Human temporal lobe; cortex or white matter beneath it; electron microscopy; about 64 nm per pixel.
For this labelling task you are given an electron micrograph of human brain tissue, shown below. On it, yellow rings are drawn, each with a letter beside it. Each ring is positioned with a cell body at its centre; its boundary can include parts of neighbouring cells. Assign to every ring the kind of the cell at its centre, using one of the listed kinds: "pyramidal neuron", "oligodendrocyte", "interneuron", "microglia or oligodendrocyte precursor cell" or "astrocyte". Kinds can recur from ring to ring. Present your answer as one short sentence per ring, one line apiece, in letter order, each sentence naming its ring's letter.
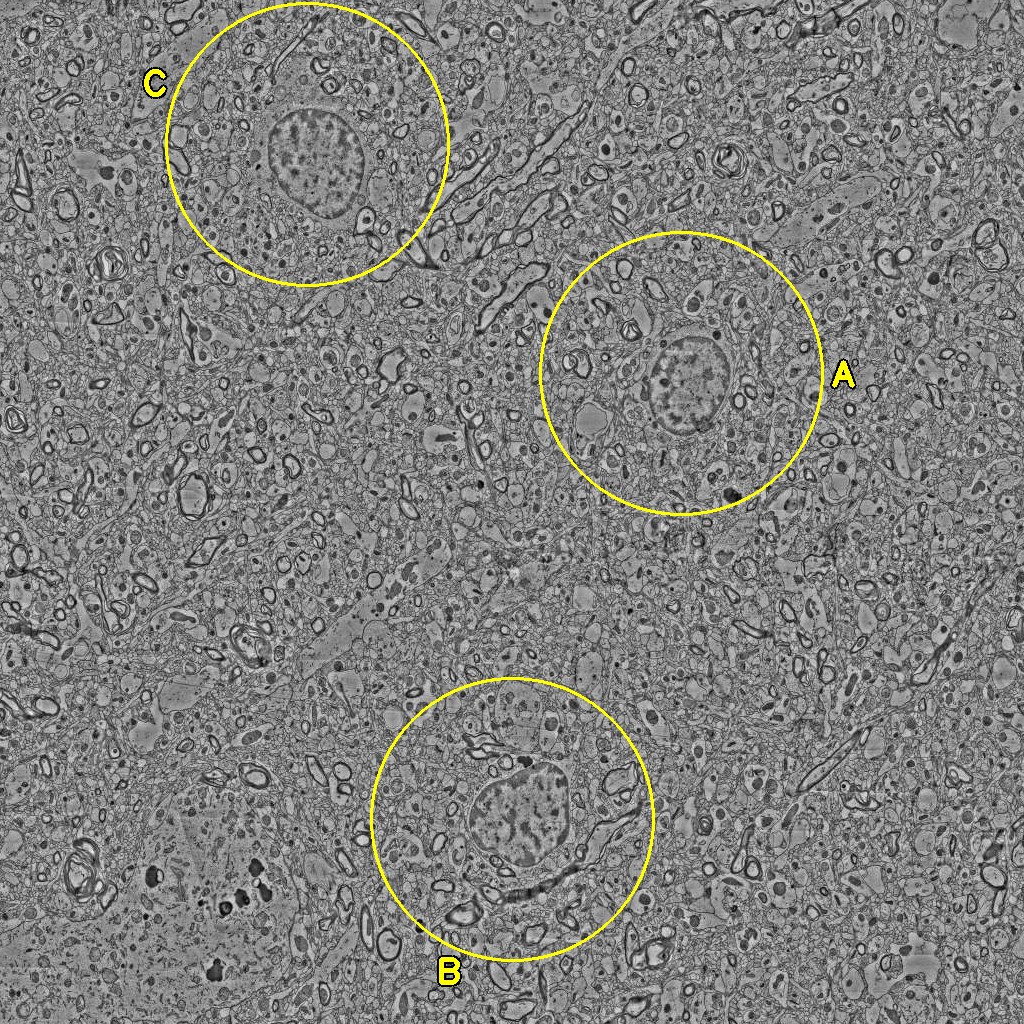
The cell in the middle of ring A is an oligodendrocyte.
The cell in the middle of ring B is a microglial cell or oligodendrocyte precursor cell.
The cell in the middle of ring C is an oligodendrocyte.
